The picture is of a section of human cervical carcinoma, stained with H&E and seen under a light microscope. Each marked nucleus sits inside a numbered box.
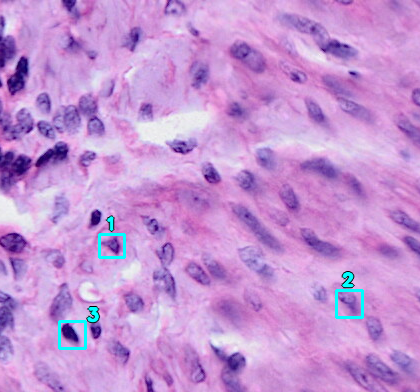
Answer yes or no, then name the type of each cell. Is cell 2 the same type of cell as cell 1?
Yes, it is true that cells 2 and 1 are both smooth muscle cells.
